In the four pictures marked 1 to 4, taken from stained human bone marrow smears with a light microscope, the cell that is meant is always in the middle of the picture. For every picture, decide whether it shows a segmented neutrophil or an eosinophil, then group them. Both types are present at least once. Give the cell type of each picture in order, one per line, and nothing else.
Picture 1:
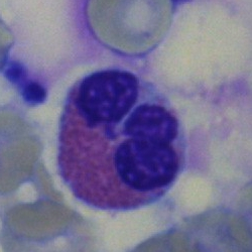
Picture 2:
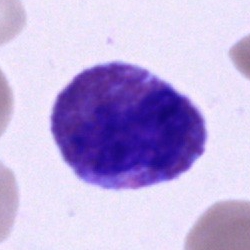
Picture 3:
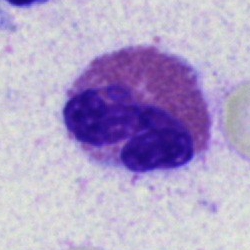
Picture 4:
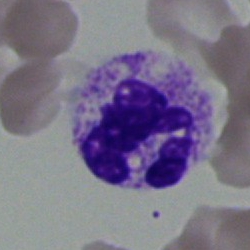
eosinophil
eosinophil
eosinophil
segmented neutrophil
